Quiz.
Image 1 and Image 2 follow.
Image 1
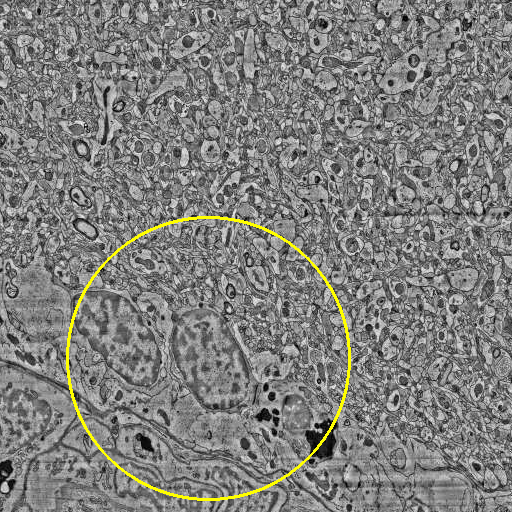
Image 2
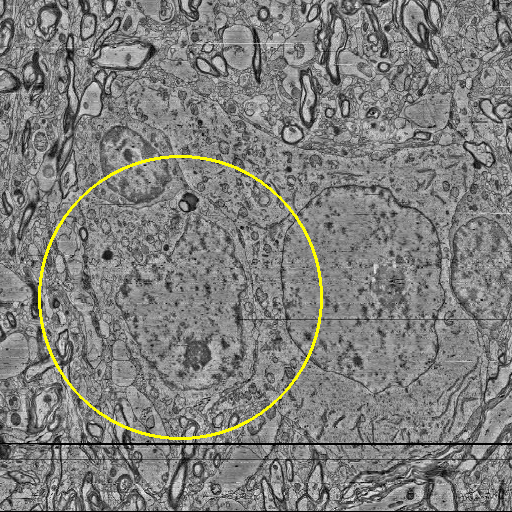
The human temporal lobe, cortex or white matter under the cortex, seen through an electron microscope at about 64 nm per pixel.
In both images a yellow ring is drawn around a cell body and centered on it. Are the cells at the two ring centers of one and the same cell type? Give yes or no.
no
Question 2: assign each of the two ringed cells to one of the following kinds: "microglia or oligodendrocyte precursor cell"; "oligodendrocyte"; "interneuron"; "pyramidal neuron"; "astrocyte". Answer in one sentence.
The two cells are an oligodendrocyte in the first picture and an interneuron in the second.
